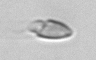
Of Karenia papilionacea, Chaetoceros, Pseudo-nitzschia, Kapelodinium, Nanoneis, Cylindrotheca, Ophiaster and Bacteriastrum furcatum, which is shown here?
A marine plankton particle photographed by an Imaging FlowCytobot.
Kapelodinium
